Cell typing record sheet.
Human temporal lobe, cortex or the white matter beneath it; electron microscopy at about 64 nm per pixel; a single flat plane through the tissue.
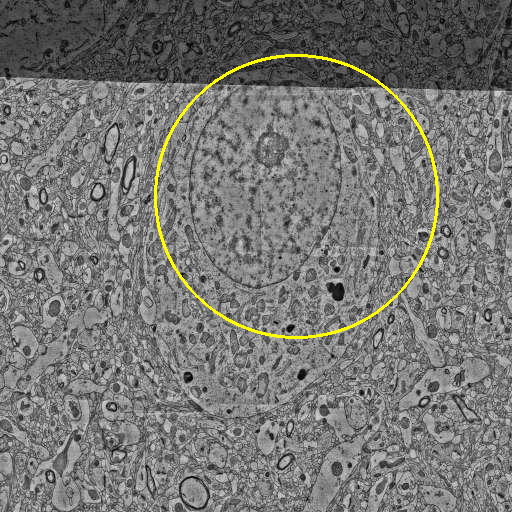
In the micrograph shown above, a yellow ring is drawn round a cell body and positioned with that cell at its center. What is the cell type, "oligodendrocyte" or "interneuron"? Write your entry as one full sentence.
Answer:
The cell body at the center of the ring belongs to an interneuron.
